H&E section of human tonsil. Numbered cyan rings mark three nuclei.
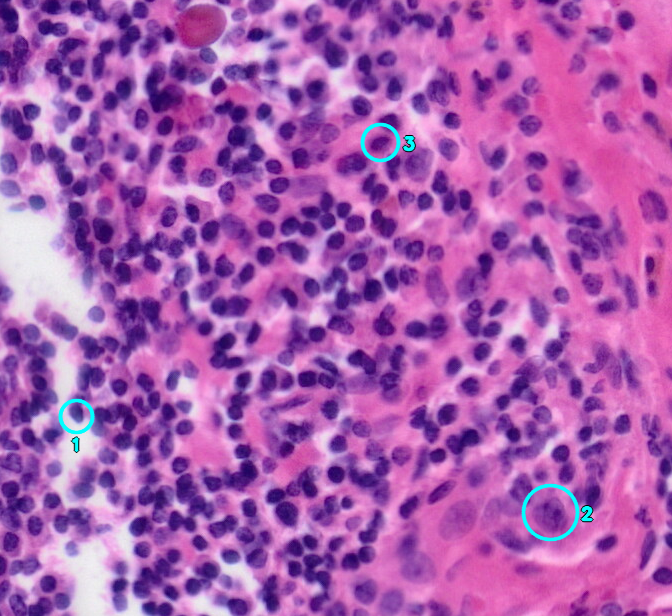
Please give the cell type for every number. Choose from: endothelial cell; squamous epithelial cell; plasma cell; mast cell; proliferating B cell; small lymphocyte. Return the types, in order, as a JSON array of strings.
["small lymphocyte", "endothelial cell", "endothelial cell"]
